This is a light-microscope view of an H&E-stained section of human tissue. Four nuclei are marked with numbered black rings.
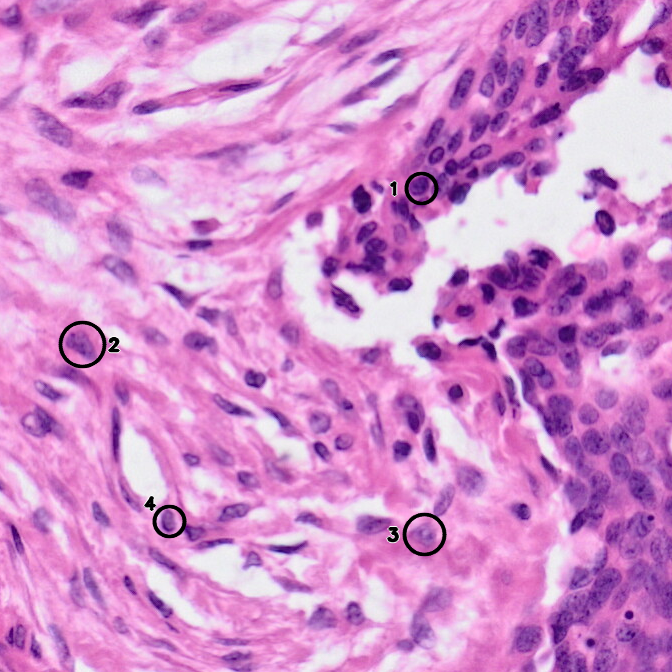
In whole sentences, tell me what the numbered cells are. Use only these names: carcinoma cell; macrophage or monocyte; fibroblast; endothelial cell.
Cell 1 is a macrophage or monocyte, cell 2 is a fibroblast, cell 3 is a fibroblast and cell 4 is a fibroblast.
